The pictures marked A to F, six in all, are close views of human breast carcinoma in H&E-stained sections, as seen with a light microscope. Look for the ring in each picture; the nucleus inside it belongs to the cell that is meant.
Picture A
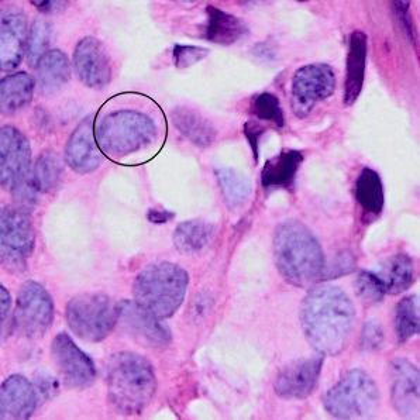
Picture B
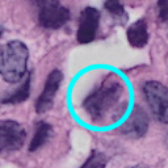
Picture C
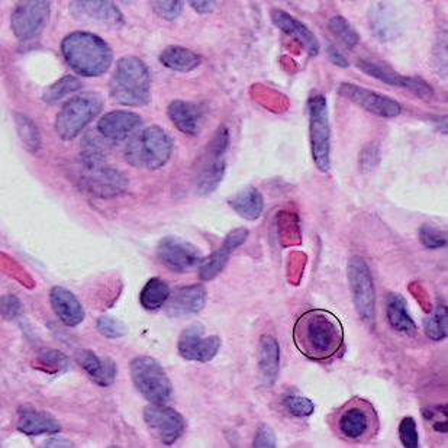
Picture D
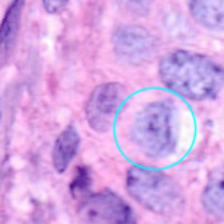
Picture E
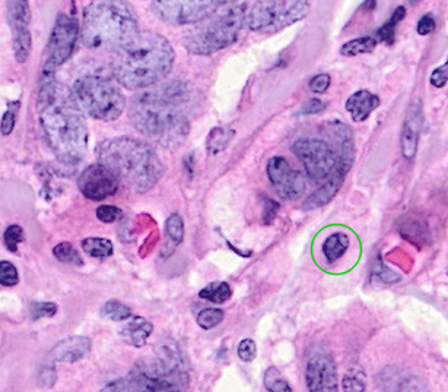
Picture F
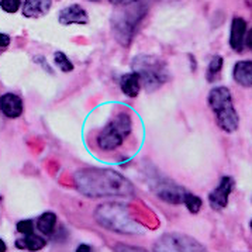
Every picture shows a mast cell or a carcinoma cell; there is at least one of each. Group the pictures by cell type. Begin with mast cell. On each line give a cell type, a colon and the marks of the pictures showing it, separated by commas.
mast cell: C, E, F
carcinoma cell: A, B, D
